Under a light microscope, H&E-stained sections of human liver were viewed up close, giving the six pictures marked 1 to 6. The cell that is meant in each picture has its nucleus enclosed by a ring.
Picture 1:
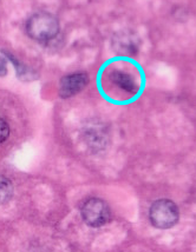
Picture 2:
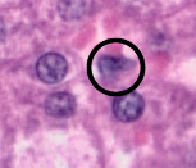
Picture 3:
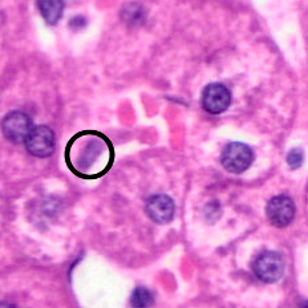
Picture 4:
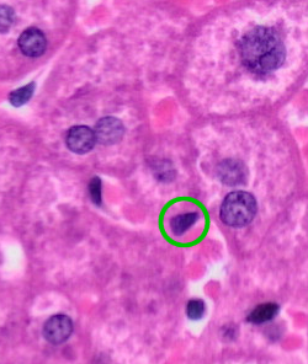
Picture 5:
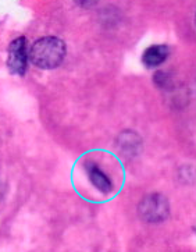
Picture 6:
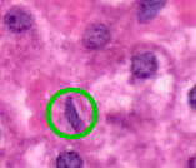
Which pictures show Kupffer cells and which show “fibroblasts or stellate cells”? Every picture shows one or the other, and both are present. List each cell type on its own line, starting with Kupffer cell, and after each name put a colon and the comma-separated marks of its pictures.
Kupffer cell: 2, 3
fibroblast or stellate cell: 1, 4, 5, 6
